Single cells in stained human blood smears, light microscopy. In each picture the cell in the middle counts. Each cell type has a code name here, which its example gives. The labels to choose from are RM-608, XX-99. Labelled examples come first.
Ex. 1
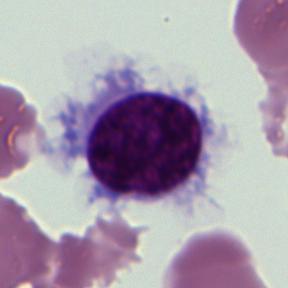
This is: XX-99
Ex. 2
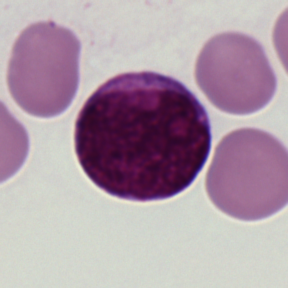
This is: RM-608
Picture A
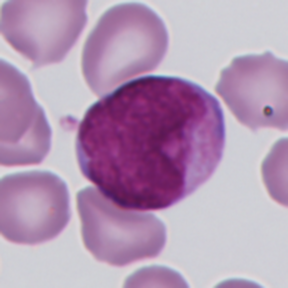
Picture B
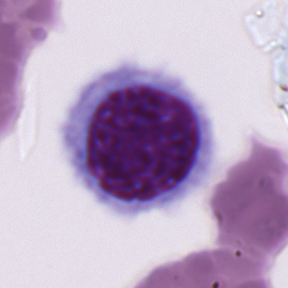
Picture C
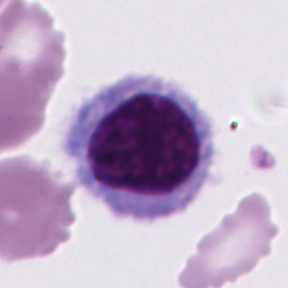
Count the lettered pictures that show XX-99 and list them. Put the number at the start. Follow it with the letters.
Count: 2 (B, C)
